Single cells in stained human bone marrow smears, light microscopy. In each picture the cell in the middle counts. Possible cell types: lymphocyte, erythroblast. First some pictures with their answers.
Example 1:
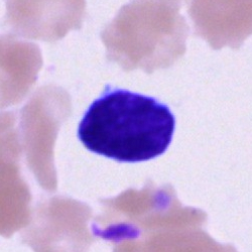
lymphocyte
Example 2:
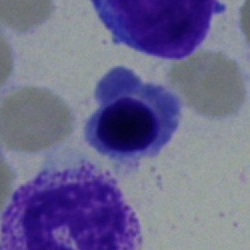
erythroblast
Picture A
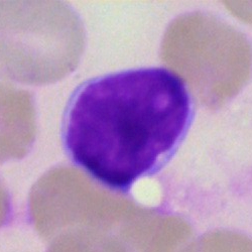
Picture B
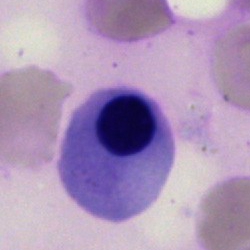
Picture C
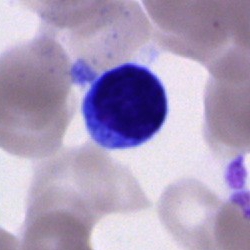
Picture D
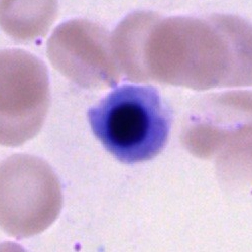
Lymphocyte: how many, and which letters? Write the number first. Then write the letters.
Count: 2 (A, C)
